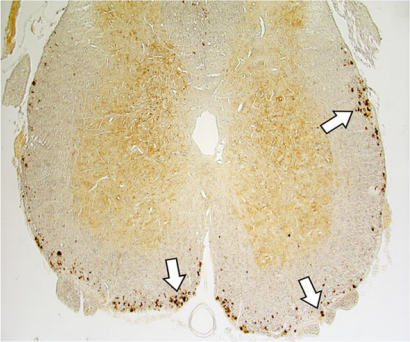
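A cross-section of spinal cord with a central canal and a darker tan butterfly-shaped central region surrounded by a paler outer band. Along the outer rim of that paler band, especially at the bottom and one side, sit many dark brown round dots.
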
